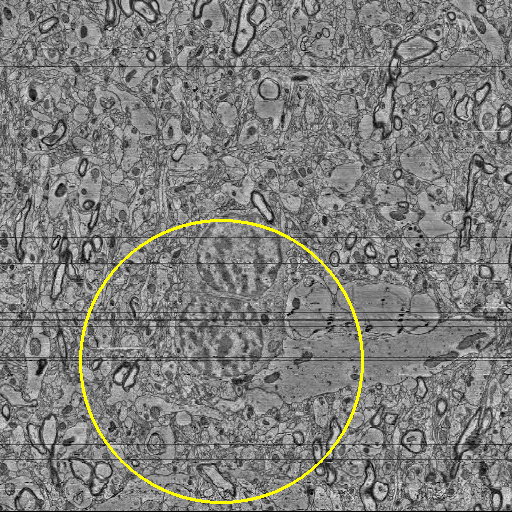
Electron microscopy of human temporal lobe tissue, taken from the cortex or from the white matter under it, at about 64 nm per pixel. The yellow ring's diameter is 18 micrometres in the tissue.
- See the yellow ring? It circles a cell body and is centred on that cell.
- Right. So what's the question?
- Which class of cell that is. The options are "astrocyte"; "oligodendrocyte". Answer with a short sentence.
The centre of the ring holds an oligodendrocyte.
